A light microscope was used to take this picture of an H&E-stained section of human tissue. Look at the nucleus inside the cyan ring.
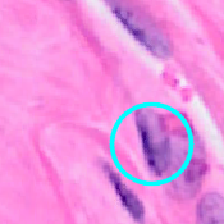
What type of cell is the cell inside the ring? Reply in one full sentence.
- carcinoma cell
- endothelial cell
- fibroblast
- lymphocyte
With respect to cell type, the cell inside the ring is an endothelial cell.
